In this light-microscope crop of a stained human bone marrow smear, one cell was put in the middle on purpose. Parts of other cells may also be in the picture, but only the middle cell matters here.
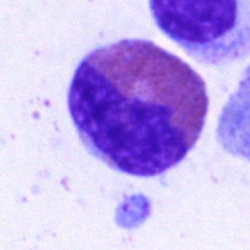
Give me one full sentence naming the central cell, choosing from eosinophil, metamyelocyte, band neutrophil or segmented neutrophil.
The cell centred in this crop is categorized as an eosinophil.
